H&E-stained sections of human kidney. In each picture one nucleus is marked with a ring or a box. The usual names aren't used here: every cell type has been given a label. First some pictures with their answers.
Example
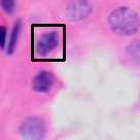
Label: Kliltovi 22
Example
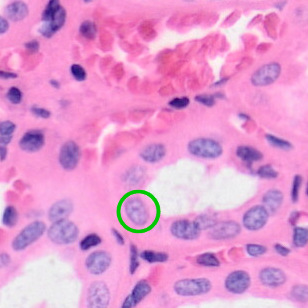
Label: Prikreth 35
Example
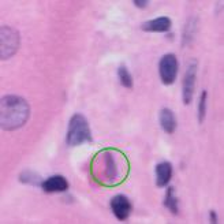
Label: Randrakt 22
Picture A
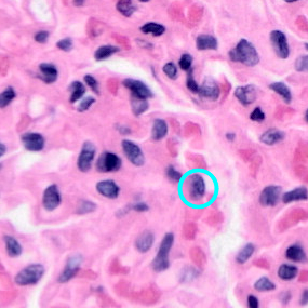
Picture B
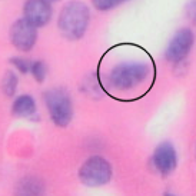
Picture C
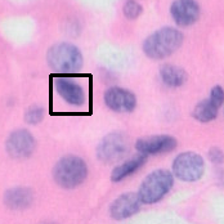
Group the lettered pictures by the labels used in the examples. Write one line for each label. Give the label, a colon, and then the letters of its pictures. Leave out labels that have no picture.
Prikreth 35: B, C
Randrakt 22: A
